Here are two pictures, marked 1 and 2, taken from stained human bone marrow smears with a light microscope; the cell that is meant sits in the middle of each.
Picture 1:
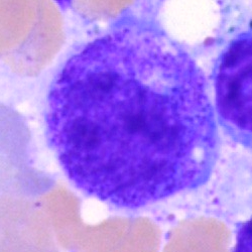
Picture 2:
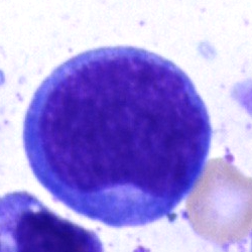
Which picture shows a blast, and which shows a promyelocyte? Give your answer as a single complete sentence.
Picture 1 shows a promyelocyte and picture 2 shows a blast.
